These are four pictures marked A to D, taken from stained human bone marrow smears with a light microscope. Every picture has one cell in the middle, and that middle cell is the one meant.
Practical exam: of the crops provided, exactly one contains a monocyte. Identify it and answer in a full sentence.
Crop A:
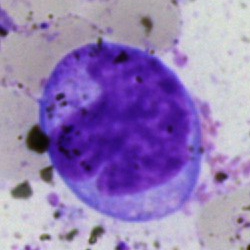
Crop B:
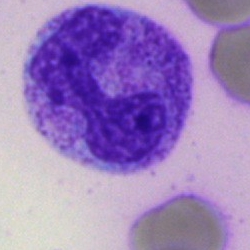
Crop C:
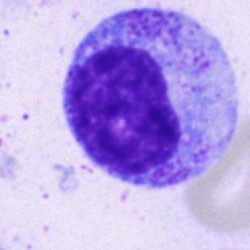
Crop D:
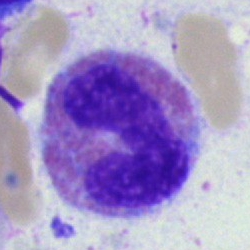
Crop A, and no other, shows a monocyte.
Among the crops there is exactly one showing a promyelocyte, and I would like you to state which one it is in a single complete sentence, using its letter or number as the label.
That would be crop C; it shows a promyelocyte.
